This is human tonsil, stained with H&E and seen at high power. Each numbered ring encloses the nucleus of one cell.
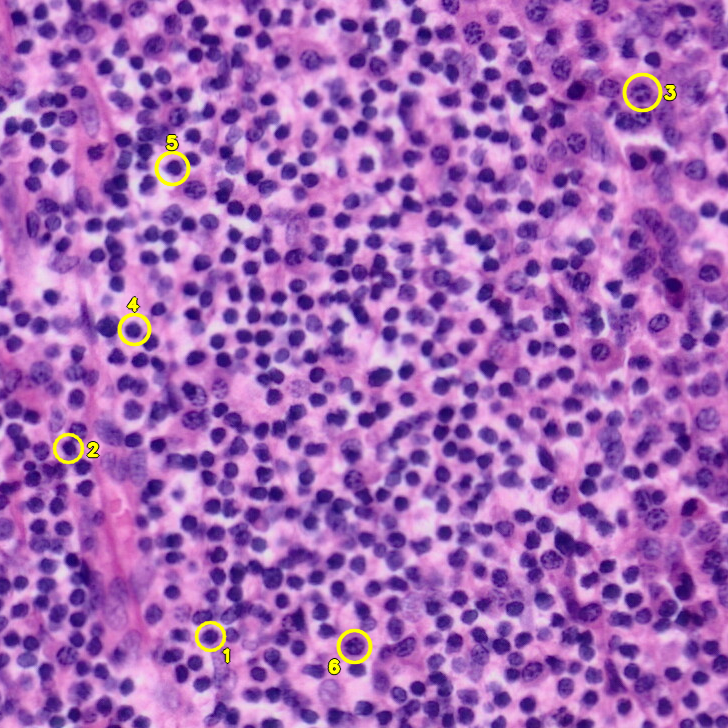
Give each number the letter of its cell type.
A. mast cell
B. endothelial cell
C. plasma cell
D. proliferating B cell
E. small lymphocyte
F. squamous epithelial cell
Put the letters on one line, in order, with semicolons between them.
E; E; C; E; E; C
